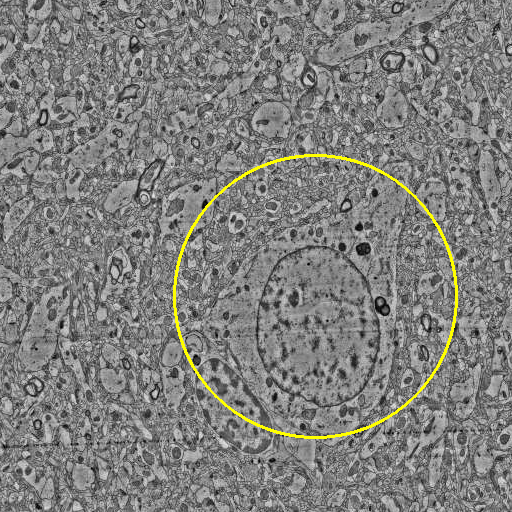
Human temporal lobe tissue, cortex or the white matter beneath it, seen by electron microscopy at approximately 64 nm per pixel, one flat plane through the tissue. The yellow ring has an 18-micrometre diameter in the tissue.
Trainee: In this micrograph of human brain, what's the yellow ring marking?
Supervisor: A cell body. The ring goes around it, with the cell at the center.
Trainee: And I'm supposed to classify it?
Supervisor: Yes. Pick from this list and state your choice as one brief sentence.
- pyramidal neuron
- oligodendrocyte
The cell at the ring's center is a pyramidal neuron.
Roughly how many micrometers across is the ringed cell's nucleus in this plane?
About 10 by 8 micrometers for the nucleus, in this plane.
